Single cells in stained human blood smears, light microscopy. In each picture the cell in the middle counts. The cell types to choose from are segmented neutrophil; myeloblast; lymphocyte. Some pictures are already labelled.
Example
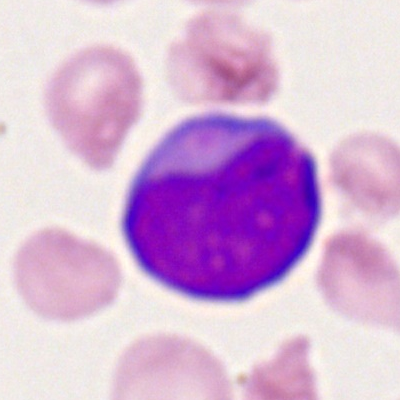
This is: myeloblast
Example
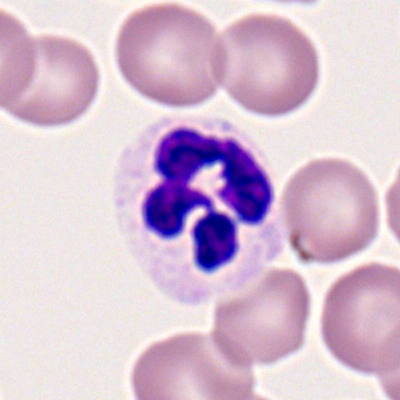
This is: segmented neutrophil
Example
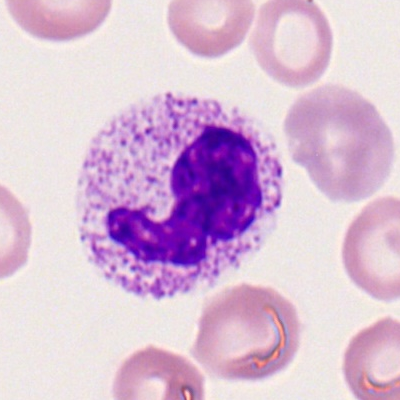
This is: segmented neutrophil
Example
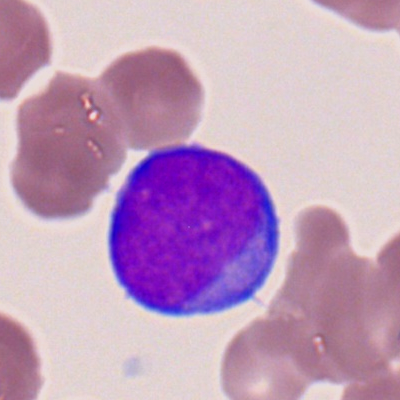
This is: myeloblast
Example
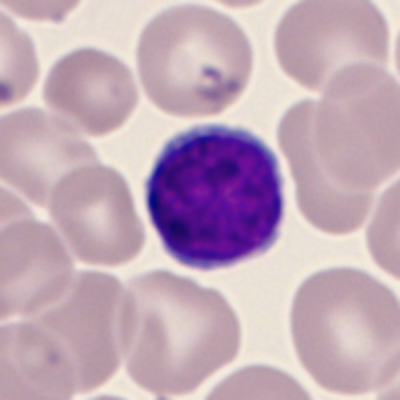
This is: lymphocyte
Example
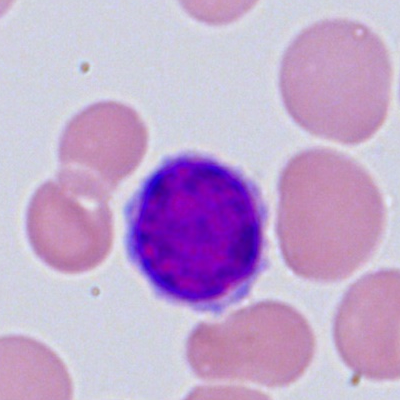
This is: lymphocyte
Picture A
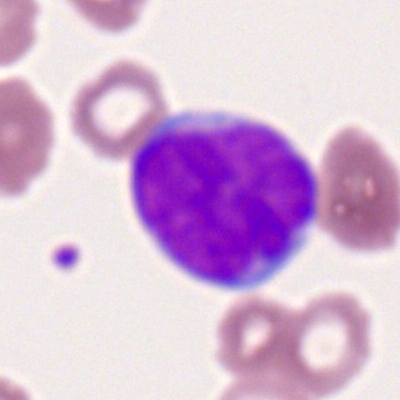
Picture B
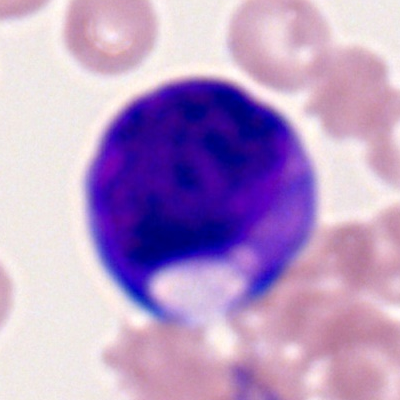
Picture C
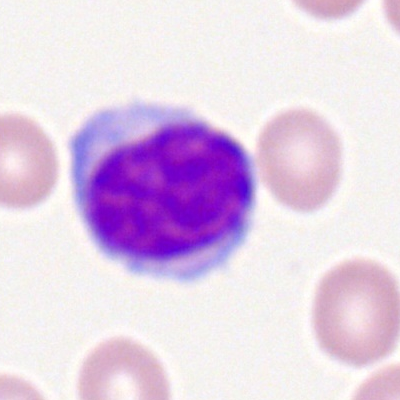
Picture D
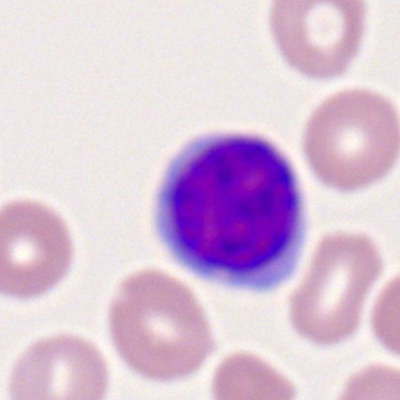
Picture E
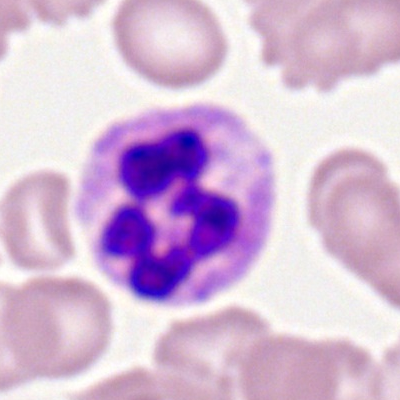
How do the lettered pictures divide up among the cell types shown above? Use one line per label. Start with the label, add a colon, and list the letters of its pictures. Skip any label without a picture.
segmented neutrophil: E
myeloblast: A, B
lymphocyte: C, D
